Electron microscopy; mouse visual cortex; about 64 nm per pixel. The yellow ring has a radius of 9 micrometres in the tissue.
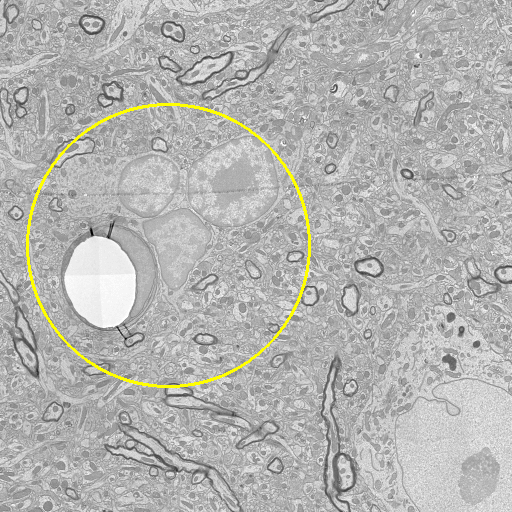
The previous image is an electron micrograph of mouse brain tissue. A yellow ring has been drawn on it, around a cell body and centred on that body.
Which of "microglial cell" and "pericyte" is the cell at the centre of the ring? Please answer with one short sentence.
The cell body at the centre of the ring belongs to a microglial cell.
